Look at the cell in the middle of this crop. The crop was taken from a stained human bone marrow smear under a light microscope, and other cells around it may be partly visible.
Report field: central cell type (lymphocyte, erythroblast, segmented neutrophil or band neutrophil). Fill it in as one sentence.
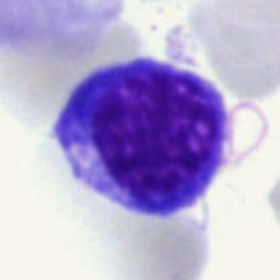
Centrally within this crop lies an erythroblast.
